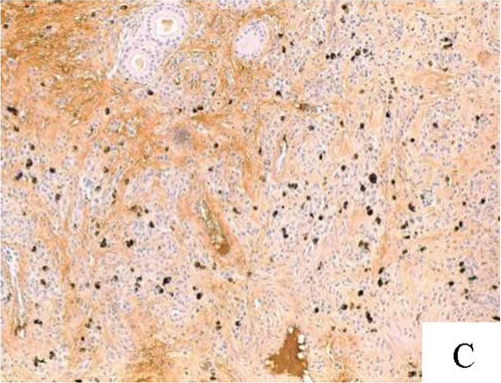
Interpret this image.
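The fibrous background carries a diffuse orange-brown tint in places. Near the top a couple of small ducts with open lumens and pale epithelium are seen, lacking brown staining. The stroma between them is made of wavy bands of collagen with elongated pale nuclei.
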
